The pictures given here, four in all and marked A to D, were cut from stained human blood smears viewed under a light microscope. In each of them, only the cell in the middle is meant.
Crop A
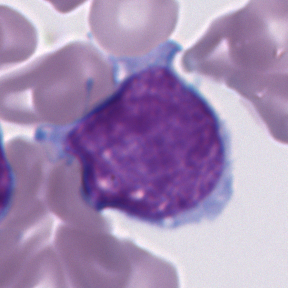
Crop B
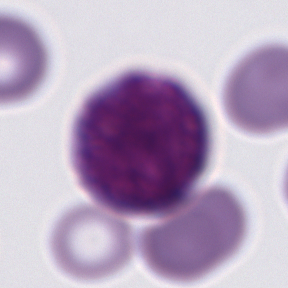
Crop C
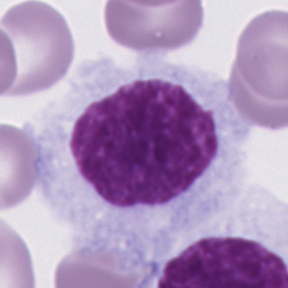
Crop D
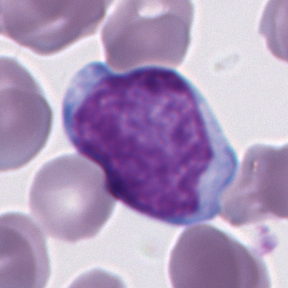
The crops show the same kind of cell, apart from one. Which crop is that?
C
